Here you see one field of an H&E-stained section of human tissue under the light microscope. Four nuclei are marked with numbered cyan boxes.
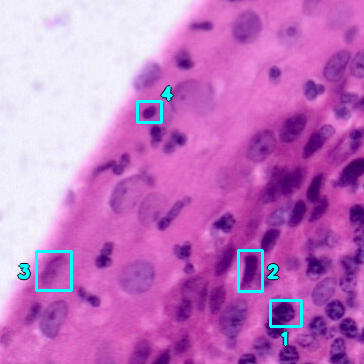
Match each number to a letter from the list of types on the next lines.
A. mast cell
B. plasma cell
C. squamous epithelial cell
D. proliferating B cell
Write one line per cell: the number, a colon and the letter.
1: B
2: C
3: C
4: C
